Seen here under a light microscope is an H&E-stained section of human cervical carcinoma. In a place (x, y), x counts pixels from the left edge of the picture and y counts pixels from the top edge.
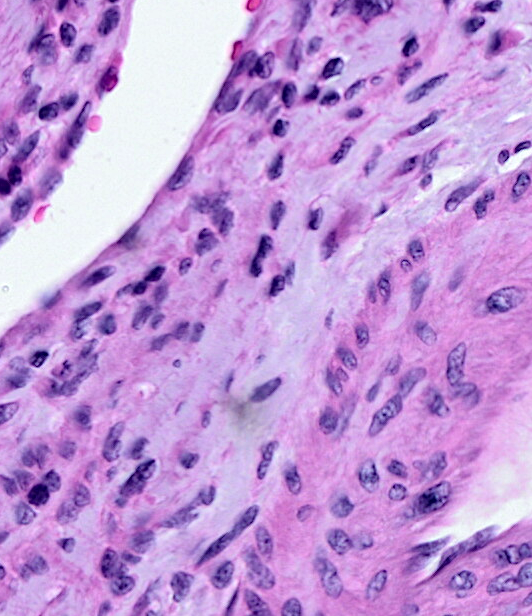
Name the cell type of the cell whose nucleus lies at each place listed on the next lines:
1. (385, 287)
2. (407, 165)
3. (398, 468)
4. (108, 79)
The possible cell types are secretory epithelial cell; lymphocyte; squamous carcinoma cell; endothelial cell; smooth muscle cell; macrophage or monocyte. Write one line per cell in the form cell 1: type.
cell 1: smooth muscle cell
cell 2: smooth muscle cell
cell 3: smooth muscle cell
cell 4: endothelial cell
